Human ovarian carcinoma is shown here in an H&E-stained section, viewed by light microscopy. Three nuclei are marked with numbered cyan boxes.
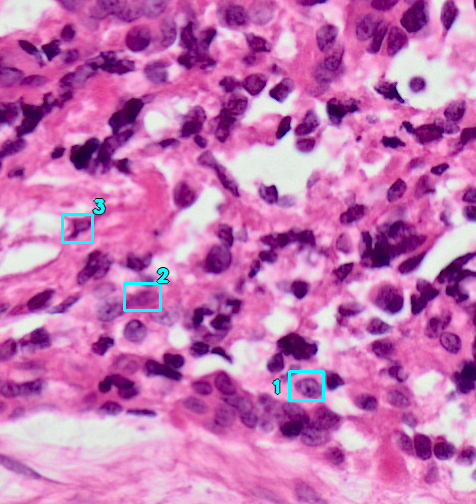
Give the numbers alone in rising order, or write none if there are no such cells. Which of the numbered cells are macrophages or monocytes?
1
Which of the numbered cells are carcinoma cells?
2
